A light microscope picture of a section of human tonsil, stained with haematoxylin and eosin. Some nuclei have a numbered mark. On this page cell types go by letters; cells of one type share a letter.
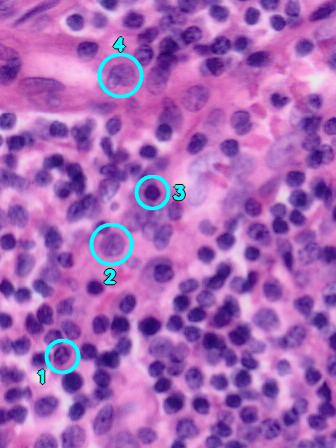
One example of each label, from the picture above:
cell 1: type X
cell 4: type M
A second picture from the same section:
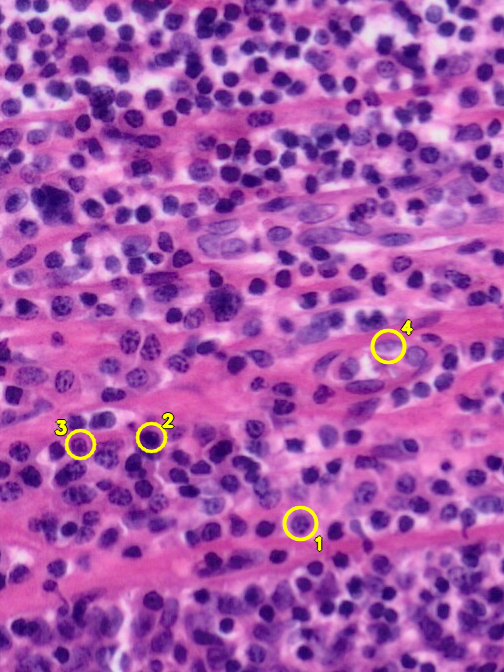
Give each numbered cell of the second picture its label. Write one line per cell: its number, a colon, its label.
1: type X
2: type X
3: type X
4: type M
